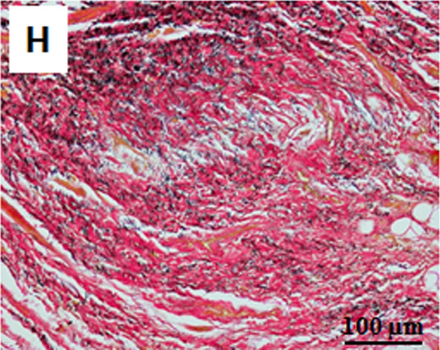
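Thick wavy red collagen bundles sweep around a central whorled area. The central area holds many fine black elastic fibers intermixed with red fibers. A few small pale spaces and yellowish-brown strands lie along the bundles, and small clear vacuoles sit at the right edge.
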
